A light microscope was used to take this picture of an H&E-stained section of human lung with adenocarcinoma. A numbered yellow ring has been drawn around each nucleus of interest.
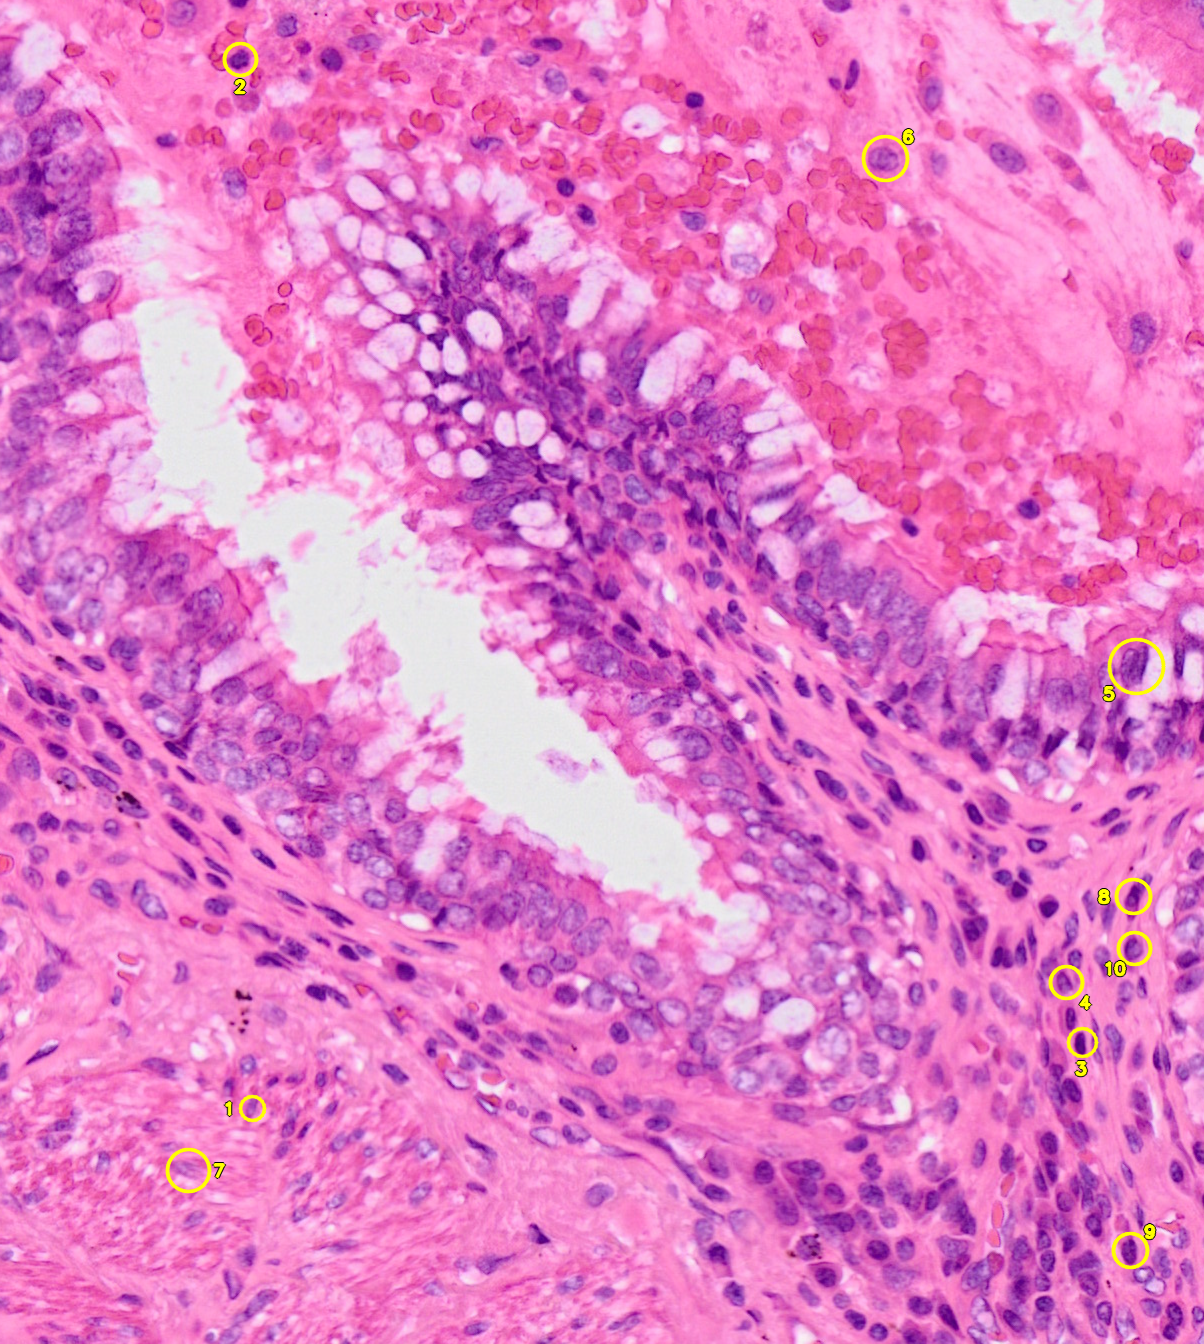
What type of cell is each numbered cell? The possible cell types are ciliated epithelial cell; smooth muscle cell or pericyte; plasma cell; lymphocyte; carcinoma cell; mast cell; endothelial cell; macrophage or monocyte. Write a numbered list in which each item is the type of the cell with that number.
1. smooth muscle cell or pericyte
2. lymphocyte
3. plasma cell
4. plasma cell
5. ciliated epithelial cell
6. macrophage or monocyte
7. smooth muscle cell or pericyte
8. plasma cell
9. plasma cell
10. plasma cell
